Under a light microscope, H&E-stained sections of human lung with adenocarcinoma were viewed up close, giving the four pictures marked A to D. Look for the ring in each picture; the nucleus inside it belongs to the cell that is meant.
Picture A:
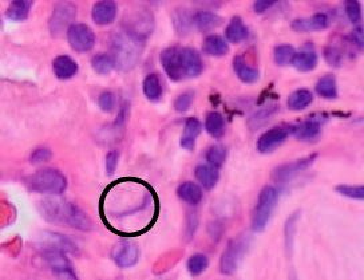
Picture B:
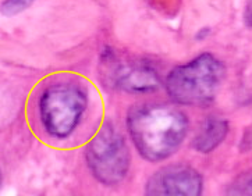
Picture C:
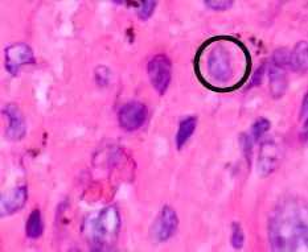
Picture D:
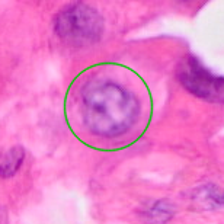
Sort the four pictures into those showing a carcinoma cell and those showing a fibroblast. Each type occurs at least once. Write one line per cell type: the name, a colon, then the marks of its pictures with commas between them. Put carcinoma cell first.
carcinoma cell: B, D
fibroblast: A, C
